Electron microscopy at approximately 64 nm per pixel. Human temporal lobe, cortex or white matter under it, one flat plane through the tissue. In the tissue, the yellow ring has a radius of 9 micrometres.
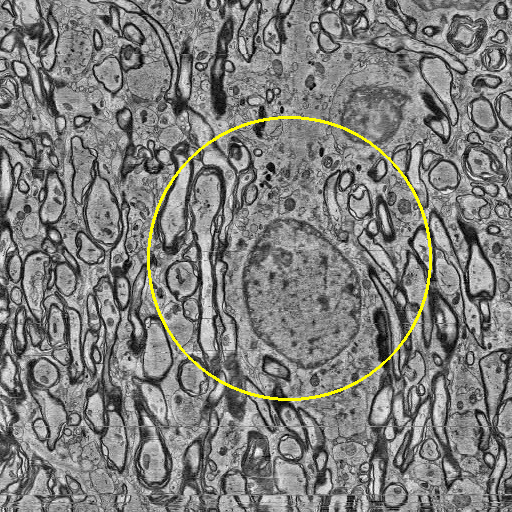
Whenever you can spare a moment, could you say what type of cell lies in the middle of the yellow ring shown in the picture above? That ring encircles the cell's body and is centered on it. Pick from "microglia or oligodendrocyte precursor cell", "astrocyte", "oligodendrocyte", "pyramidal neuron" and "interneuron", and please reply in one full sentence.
The cell whose body sits at the middle of the yellow ring is an astrocyte.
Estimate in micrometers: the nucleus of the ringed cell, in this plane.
About 10 micrometres by about 7 micrometres in this plane.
